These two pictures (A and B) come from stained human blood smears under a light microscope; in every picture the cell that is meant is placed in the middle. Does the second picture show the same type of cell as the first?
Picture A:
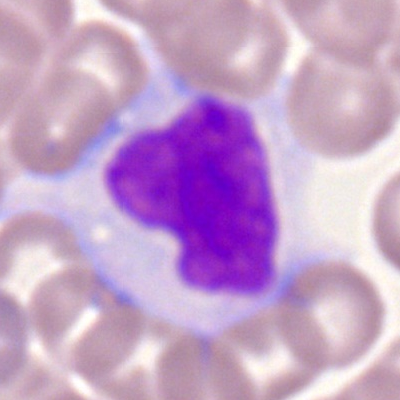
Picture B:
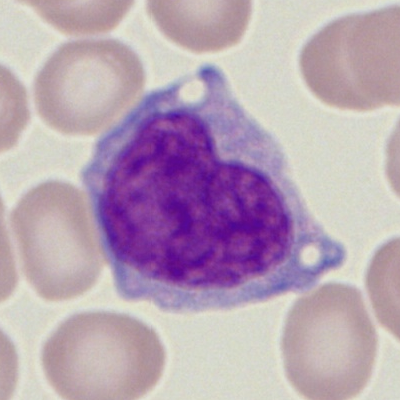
yes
